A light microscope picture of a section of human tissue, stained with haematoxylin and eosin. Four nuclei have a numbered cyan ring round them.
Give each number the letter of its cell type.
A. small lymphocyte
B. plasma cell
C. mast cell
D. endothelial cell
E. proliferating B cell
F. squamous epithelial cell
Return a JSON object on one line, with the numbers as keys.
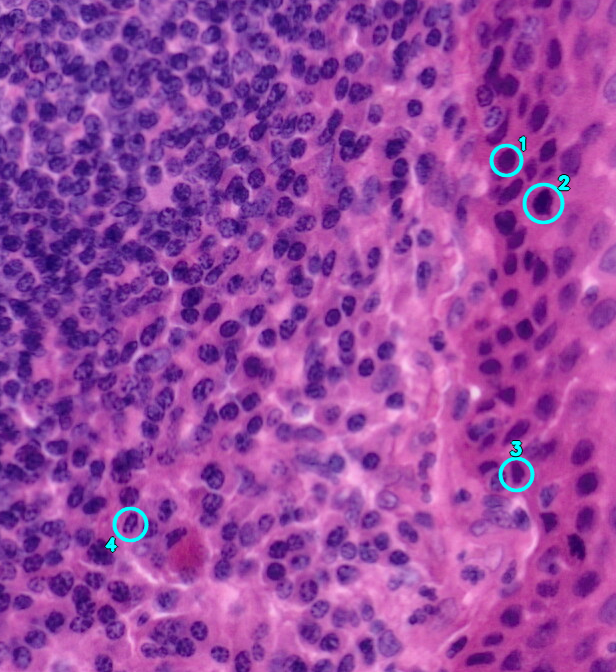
{"1": "F", "2": "F", "3": "F", "4": "B"}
